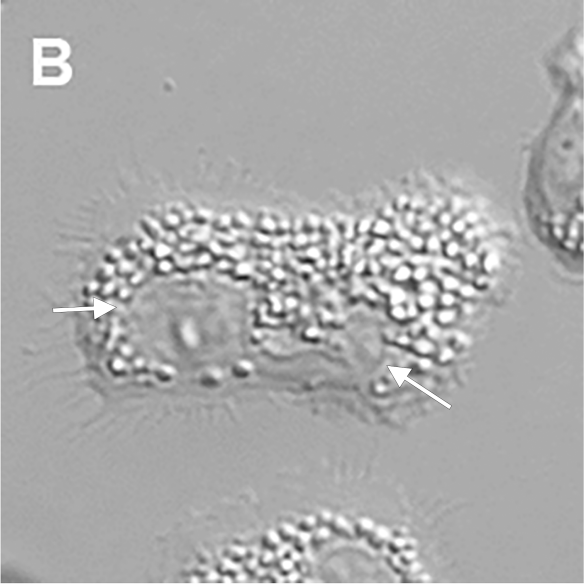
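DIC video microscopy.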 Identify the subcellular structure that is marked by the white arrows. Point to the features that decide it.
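The arrows point to two smooth oval regions without granules. These regions lie at either end of a flat cell. Densely packed granules surround them.
Conclusion: nuclear lobes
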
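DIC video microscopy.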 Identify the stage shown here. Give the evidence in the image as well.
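The cell is broadly flattened and elongated. Granules are spread across a wide area. Fine spike-like projections radiate from the margins. That points to this answer: pancake-shaped.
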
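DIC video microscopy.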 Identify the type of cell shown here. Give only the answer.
eosinophils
